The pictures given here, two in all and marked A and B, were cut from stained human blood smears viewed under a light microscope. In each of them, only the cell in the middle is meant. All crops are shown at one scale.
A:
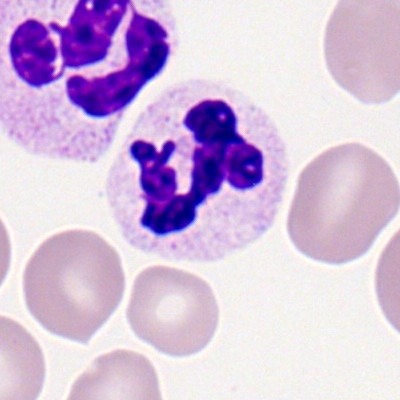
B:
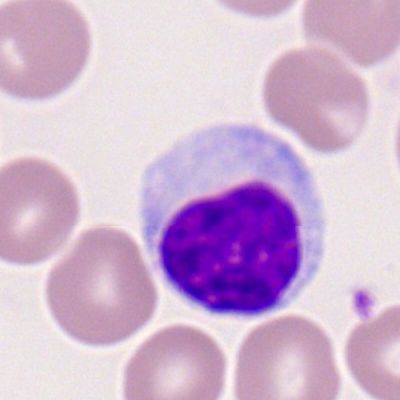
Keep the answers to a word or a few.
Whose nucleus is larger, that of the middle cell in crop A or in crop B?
B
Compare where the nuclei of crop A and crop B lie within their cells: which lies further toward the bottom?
B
